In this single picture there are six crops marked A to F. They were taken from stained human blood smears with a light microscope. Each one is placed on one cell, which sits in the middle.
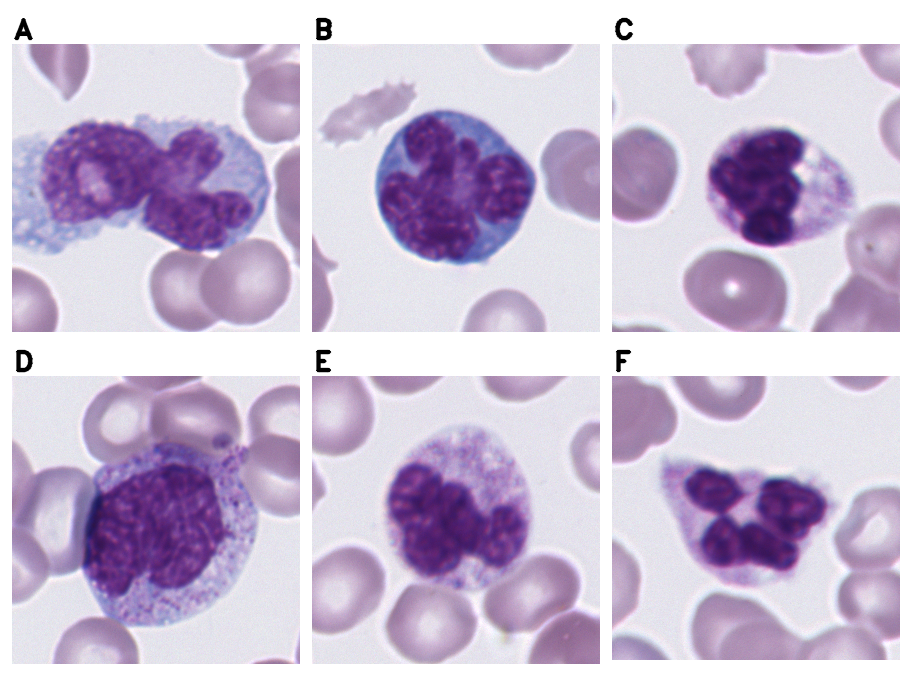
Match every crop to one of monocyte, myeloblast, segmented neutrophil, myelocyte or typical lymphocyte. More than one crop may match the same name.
A: monocyte
B: monocyte
C: segmented neutrophil
D: myelocyte
E: segmented neutrophil
F: segmented neutrophil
